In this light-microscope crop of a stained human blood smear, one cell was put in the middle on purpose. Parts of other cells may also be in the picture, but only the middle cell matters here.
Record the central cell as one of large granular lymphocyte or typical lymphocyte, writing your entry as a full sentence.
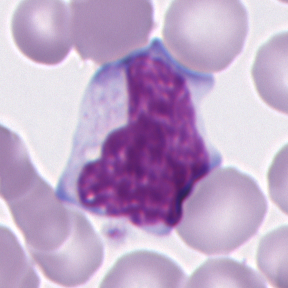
The centrally positioned cell in the crop represents a large granular lymphocyte.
